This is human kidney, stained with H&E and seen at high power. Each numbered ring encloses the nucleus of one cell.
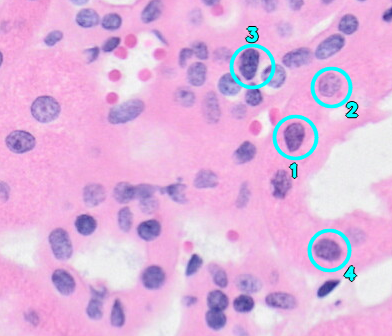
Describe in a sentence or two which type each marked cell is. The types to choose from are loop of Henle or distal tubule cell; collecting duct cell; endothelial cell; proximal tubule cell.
Cells 1, 2 and 4 are proximal tubule cells. Cell 3 is a collecting duct cell.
